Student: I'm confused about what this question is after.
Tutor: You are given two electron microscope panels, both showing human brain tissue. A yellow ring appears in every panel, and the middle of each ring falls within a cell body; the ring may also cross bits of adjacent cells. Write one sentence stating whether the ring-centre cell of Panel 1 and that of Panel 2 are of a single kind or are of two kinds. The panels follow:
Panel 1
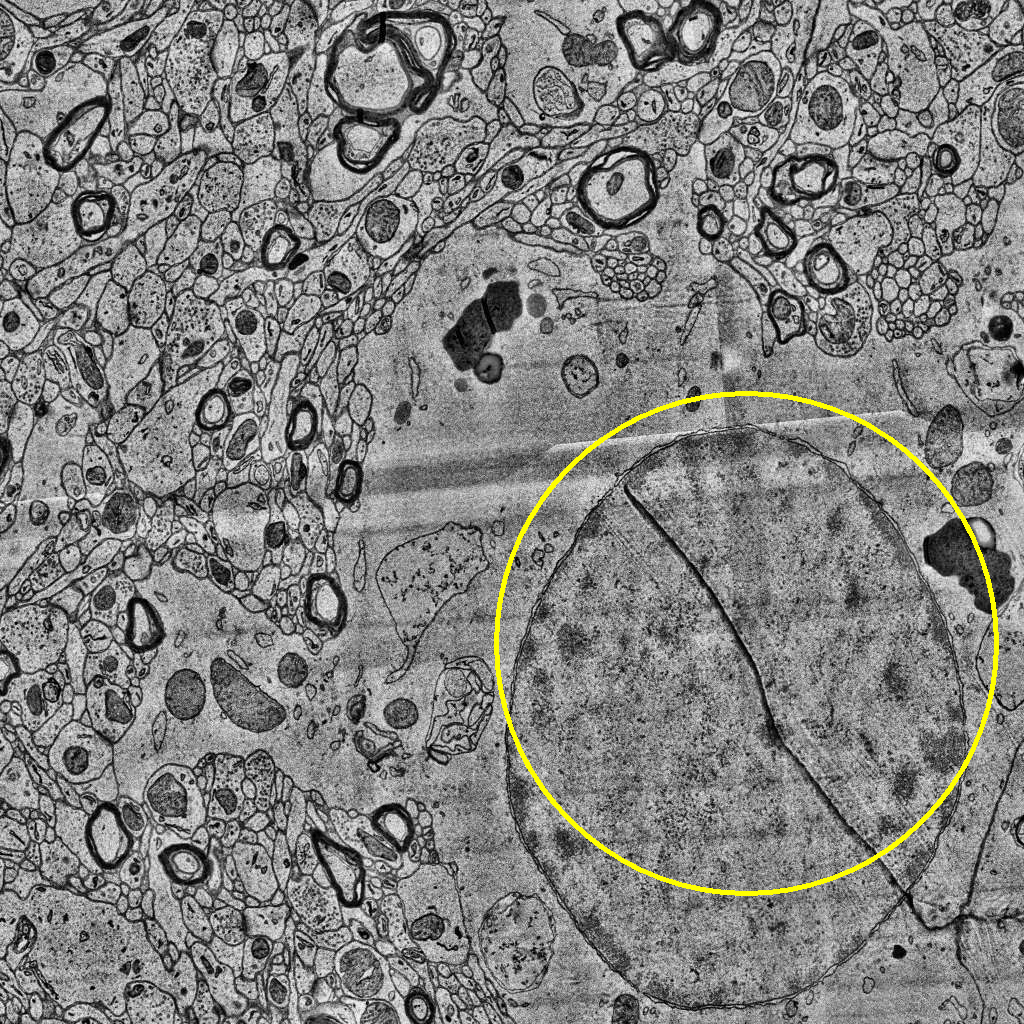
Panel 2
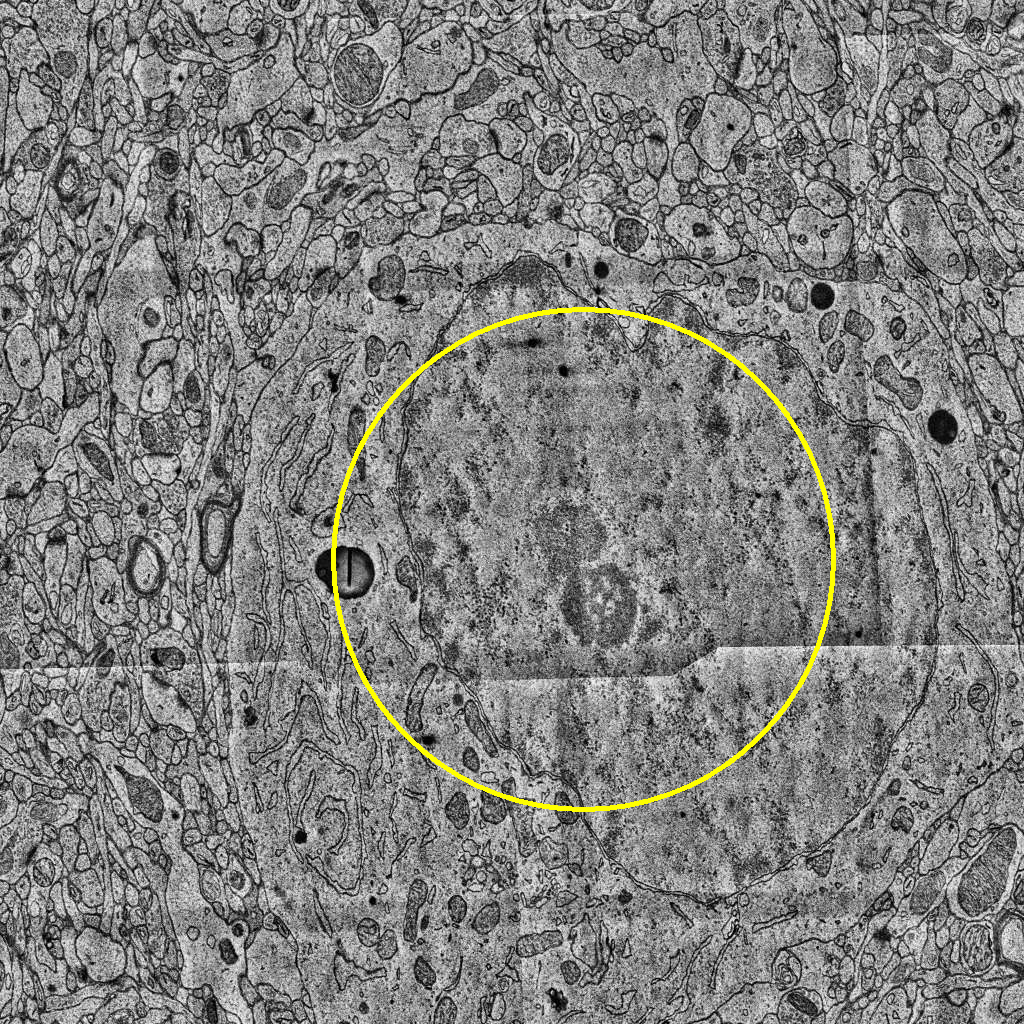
Here, the Panel 1 ring-centre cell and the Panel 2 ring-centre cell are of two kinds.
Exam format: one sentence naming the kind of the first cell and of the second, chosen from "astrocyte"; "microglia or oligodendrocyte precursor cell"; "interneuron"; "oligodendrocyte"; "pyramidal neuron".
The first picture shows an astrocyte at the ring centre and the second shows an interneuron.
